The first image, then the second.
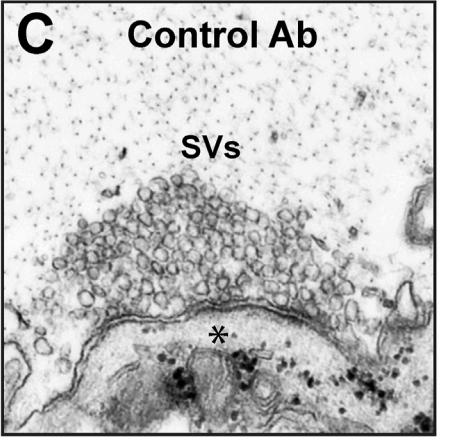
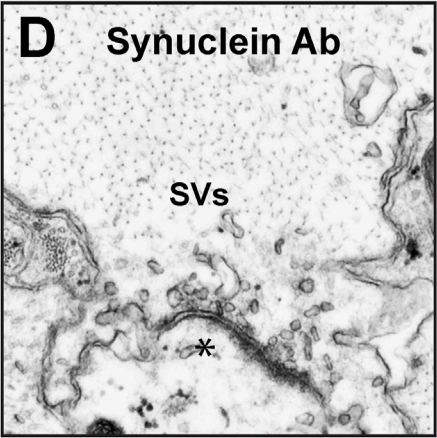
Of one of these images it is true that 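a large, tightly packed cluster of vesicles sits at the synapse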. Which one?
The first image.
